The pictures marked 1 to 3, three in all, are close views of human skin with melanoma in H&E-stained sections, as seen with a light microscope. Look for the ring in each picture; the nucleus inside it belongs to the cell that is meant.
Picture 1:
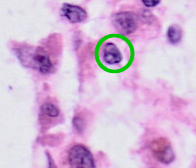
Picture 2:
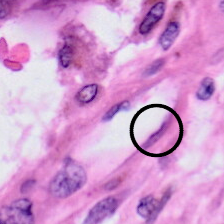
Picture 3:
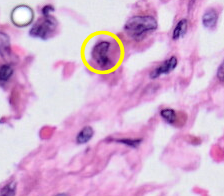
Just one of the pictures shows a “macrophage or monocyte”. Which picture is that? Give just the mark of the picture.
3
